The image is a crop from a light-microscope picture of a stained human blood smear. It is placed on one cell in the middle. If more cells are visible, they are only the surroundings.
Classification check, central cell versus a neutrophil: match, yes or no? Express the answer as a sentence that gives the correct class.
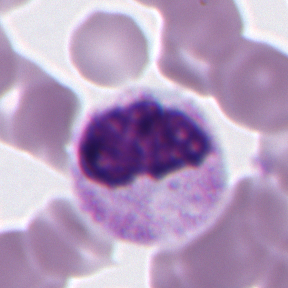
Yes, what sits in the centre of the crop is a neutrophil.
